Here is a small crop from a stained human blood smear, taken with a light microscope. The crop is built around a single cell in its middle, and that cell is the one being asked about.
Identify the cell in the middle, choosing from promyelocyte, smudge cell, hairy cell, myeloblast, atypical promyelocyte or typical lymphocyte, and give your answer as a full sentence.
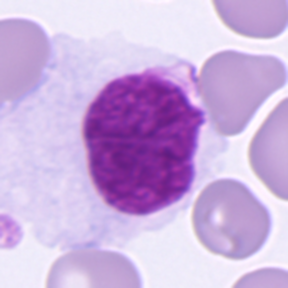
The middle cell in this particular crop is a hairy cell.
